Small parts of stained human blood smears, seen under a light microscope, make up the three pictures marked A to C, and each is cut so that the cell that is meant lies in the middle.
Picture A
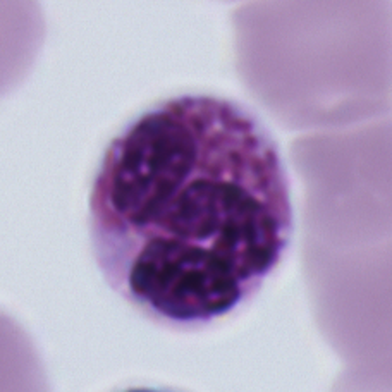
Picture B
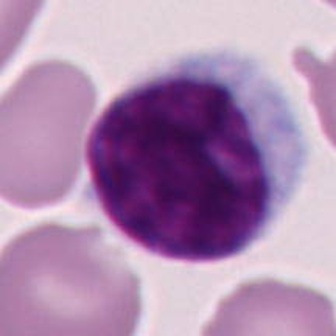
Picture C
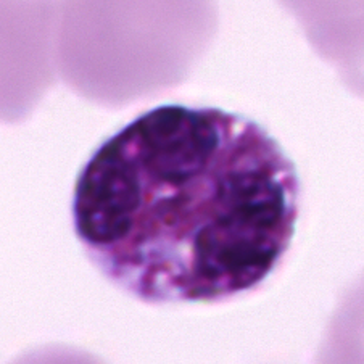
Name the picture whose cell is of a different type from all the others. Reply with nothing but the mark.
B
